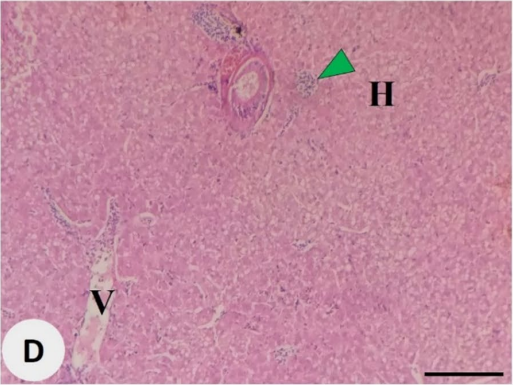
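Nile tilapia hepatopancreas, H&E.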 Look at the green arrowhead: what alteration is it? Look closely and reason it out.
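Immune cell infiltration. A small focal cluster of densely packed, dark-staining small nuclei lies among the hepatocytes. The cluster sits next to a vessel with a thick wall.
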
